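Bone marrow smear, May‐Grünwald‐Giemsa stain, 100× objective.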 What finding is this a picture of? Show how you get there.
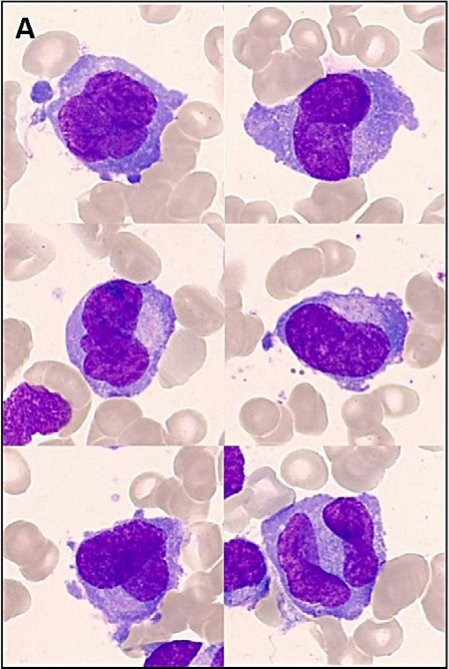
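Irregular nucleus. Nuclei are folded, indented or split into two lobes. Cells are much larger than the surrounding red cells.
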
